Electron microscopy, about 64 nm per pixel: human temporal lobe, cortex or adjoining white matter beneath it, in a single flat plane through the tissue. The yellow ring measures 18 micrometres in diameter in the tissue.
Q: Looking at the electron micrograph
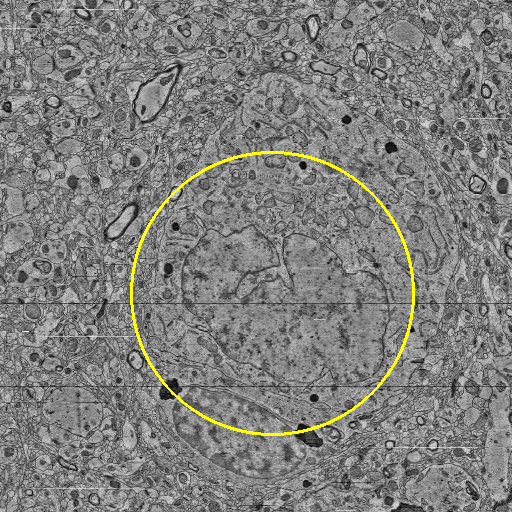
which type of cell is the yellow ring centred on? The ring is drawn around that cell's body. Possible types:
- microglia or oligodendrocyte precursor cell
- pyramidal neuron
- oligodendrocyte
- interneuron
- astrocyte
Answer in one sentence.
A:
The yellow ring is centred on an interneuron.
